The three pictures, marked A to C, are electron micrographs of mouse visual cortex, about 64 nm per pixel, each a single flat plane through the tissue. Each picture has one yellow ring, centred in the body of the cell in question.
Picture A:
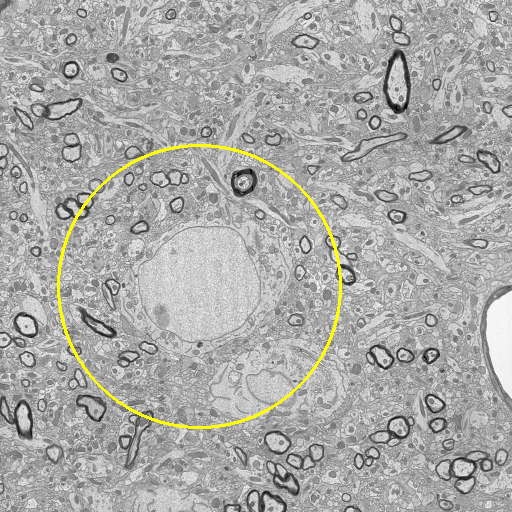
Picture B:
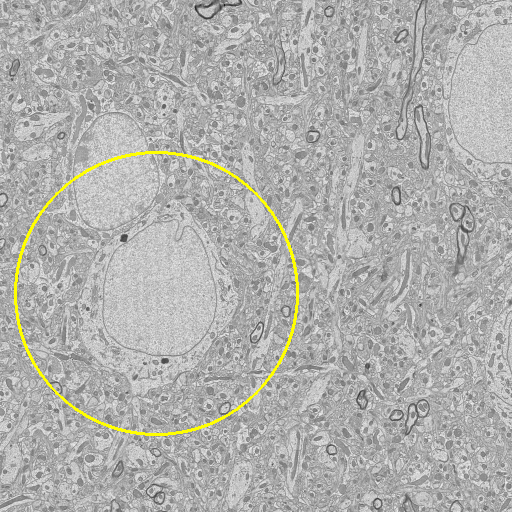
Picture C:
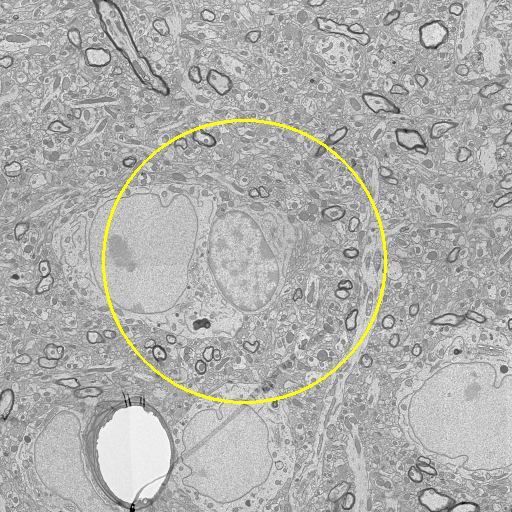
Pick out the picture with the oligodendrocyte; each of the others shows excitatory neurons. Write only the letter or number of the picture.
C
